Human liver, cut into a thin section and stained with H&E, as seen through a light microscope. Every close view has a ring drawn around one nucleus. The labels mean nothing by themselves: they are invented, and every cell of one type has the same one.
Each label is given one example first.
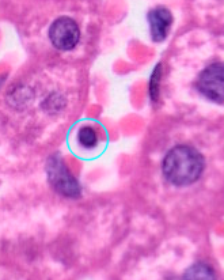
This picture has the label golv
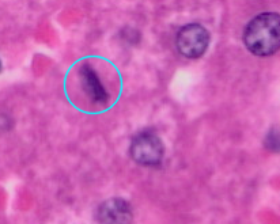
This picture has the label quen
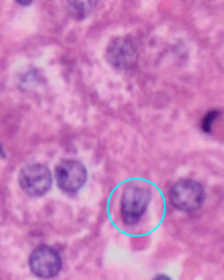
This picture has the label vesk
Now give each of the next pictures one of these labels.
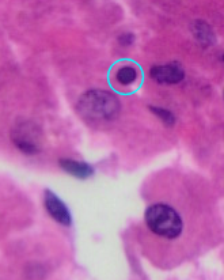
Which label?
golv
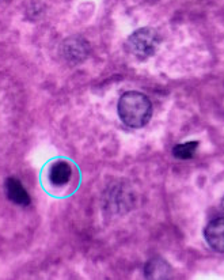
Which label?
golv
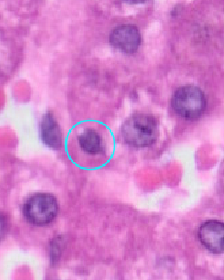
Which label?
quen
